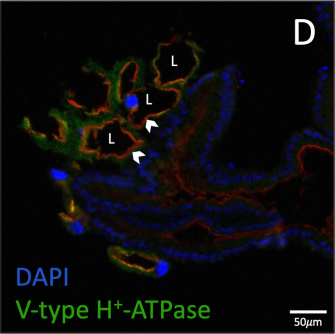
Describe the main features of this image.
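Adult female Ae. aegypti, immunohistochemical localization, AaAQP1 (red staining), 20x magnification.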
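Several sections of Malpighian tubules cut at different angles, each with an open lumen. Thin yellow-orange and red lines outline the luminal borders, with green in the surrounding cell walls and occasional large blue nuclei. Alongside lies a folded sheet of other tissue with many small, regularly spaced blue nuclei.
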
